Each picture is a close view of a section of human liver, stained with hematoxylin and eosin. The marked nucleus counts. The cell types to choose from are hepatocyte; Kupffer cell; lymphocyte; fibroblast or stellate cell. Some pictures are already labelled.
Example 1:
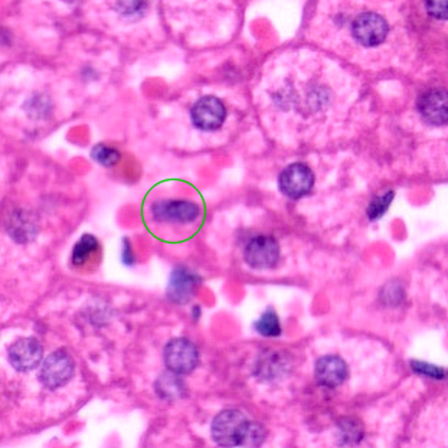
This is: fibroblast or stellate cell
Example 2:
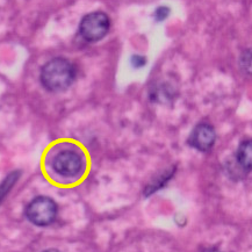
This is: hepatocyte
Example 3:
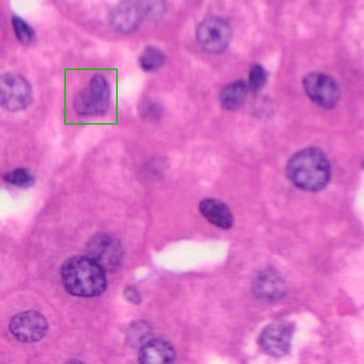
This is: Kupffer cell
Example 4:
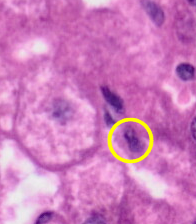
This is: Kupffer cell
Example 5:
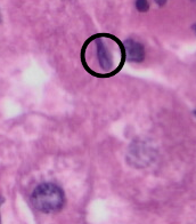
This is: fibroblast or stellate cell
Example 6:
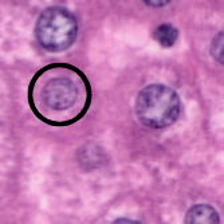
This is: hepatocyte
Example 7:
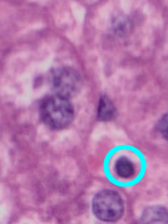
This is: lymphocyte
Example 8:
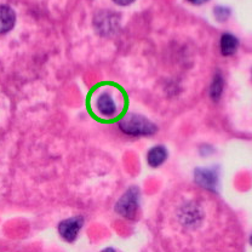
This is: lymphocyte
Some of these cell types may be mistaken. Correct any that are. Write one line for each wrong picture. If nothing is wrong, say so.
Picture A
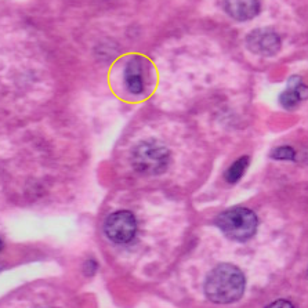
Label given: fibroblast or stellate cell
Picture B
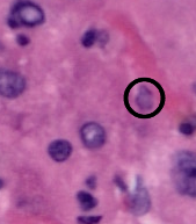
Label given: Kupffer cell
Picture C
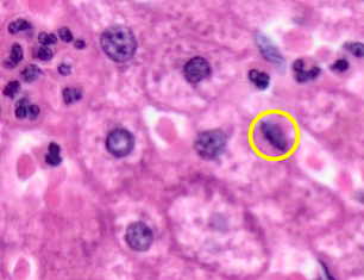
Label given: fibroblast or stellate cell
A: not fibroblast or stellate cell but Kupffer cell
